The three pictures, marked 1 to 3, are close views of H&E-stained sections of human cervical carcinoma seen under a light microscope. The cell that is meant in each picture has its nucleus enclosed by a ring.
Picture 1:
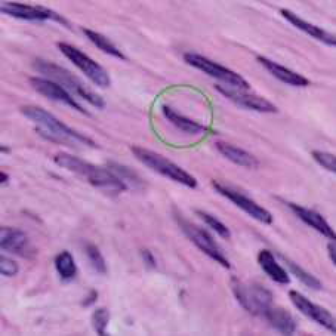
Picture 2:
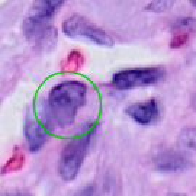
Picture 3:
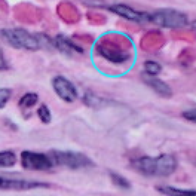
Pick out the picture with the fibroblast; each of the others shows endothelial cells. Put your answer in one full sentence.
The cell in picture 1 is the fibroblast.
